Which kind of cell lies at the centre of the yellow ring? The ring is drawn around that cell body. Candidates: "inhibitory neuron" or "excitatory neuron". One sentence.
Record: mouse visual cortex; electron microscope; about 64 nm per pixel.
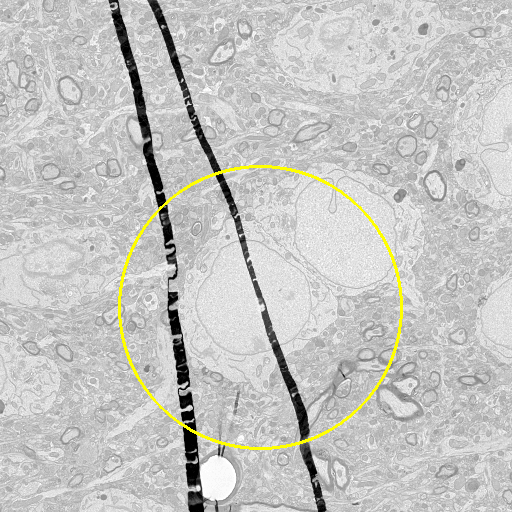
Lying at the centre of the ring is an excitatory neuron.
